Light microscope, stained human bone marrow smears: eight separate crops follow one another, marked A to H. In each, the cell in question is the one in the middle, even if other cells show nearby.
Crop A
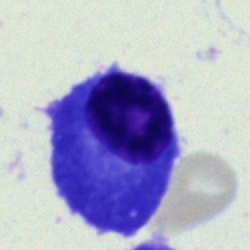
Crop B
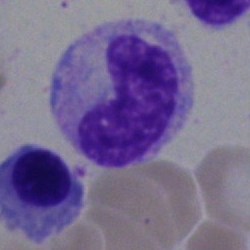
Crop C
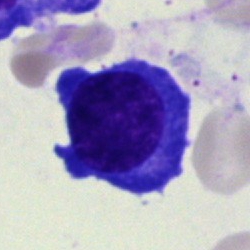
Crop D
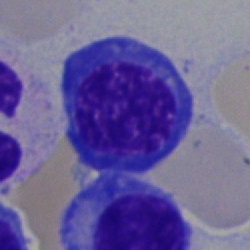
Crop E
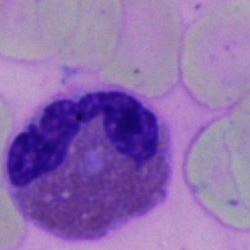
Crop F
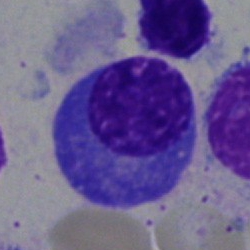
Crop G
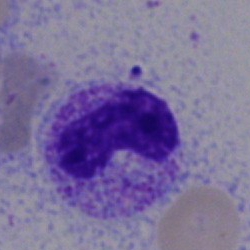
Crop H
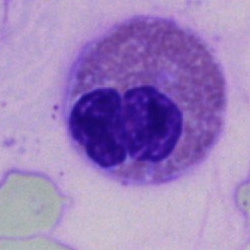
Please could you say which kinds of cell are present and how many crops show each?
plasma cell: 4
band neutrophil: 2
eosinophil: 2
